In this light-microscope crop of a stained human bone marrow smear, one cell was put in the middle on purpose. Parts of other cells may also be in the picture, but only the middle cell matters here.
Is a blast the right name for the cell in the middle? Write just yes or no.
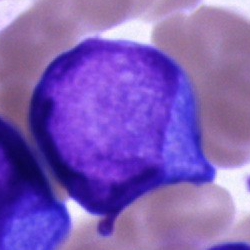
yes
